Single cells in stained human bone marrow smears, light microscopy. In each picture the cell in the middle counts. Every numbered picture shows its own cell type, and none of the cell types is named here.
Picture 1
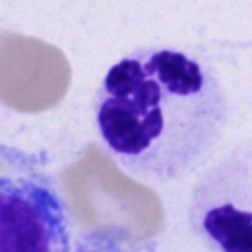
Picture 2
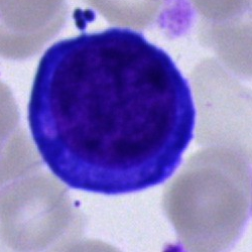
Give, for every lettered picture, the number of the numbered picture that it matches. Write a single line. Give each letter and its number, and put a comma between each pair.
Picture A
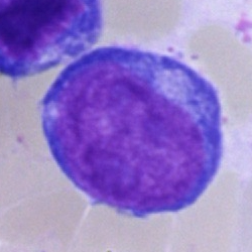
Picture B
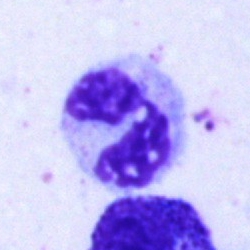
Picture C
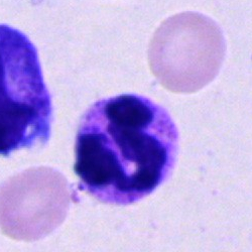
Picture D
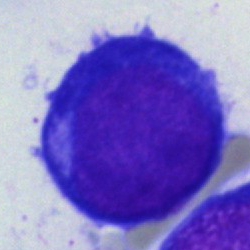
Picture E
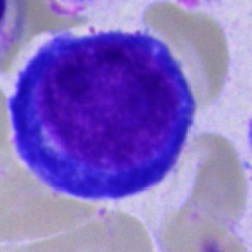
A 2, B 1, C 1, D 2, E 2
